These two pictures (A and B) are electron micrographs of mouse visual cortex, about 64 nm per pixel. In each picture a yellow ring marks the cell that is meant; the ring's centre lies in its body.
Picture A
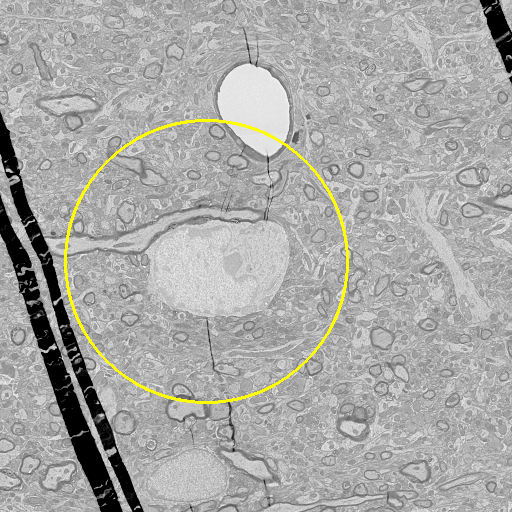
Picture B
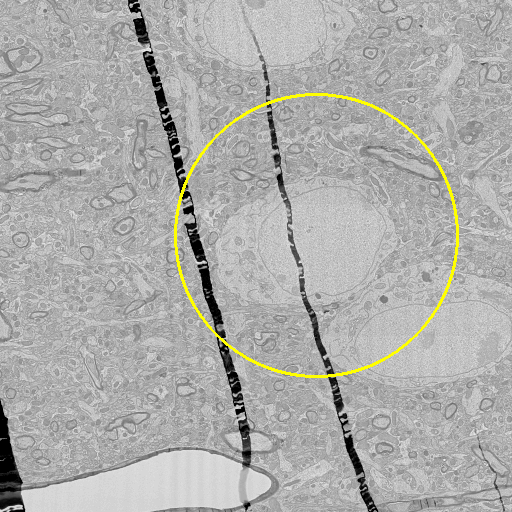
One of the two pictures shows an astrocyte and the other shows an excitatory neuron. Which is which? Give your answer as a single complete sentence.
Picture B shows an excitatory neuron, while picture A shows an astrocyte.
